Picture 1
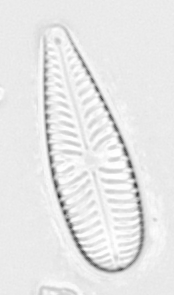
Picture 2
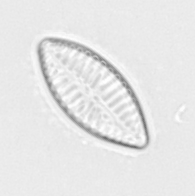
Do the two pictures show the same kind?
No: Gomphonella, then Navicula.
